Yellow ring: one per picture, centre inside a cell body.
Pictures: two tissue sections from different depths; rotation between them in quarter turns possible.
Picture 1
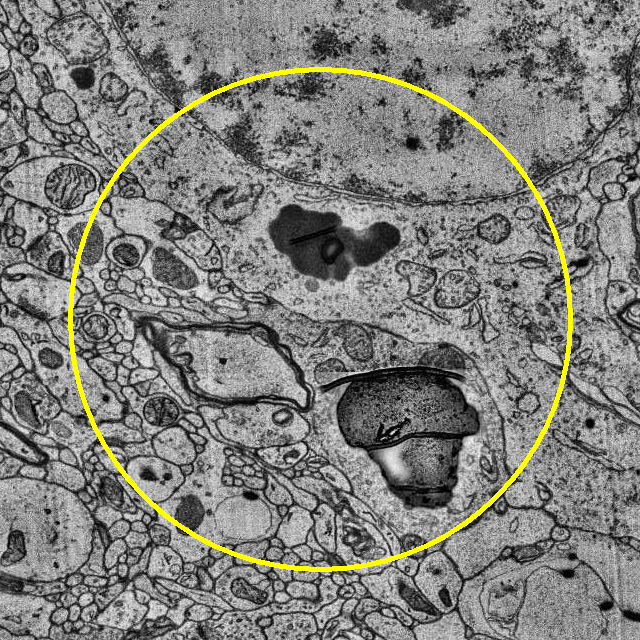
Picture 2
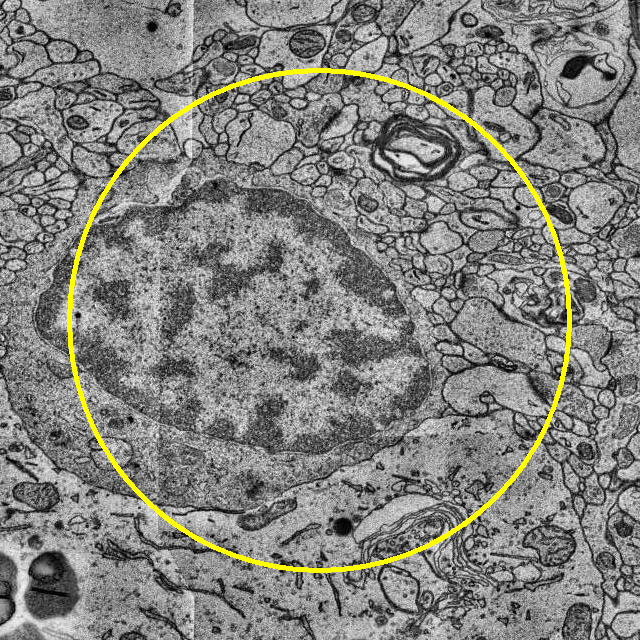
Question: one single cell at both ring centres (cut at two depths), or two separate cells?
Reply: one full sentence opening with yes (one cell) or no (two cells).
No, the yellow rings mark two separate cells, not one.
